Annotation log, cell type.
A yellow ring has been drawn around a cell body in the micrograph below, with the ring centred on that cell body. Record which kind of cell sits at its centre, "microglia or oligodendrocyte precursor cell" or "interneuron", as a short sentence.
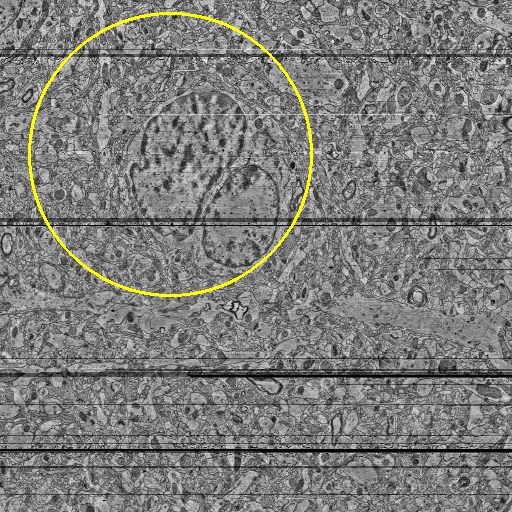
The cell at the centre of this ring is a microglial cell or oligodendrocyte precursor cell.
